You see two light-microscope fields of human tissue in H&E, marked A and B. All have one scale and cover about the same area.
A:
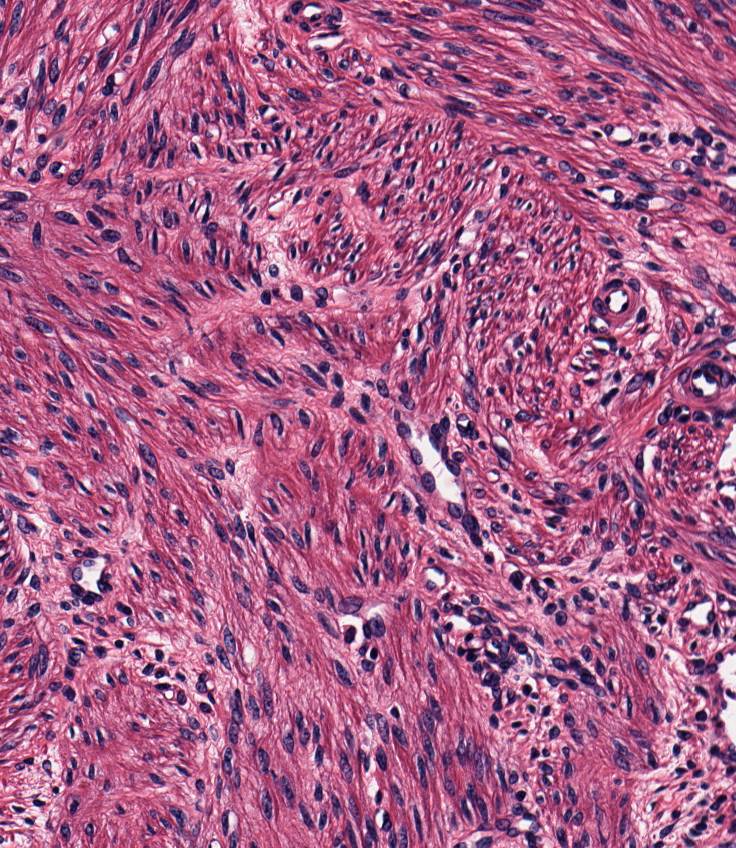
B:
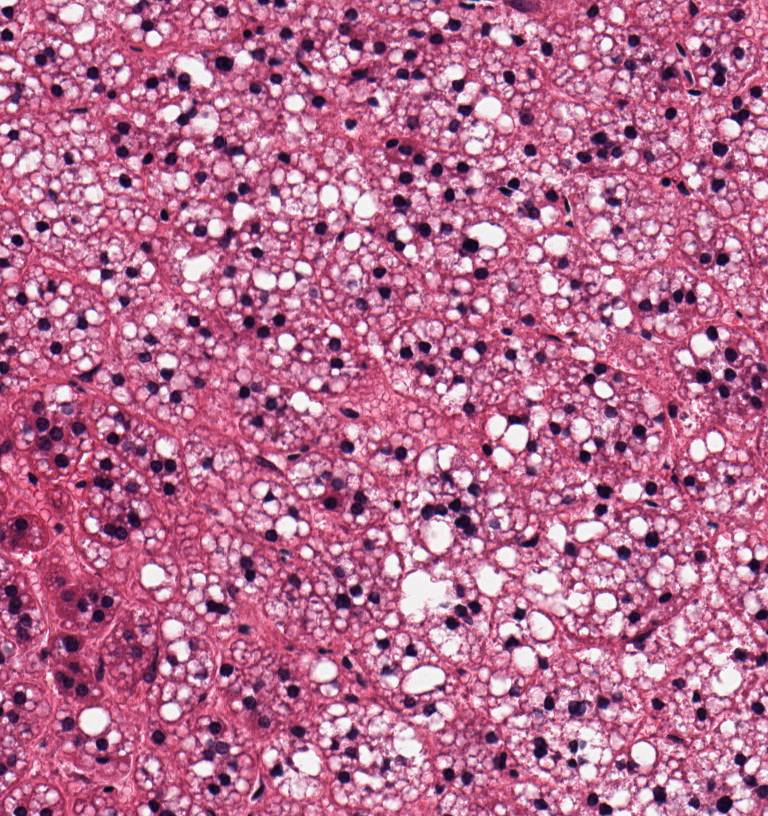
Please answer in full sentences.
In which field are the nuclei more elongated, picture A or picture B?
The nuclei are more elongated in picture A.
